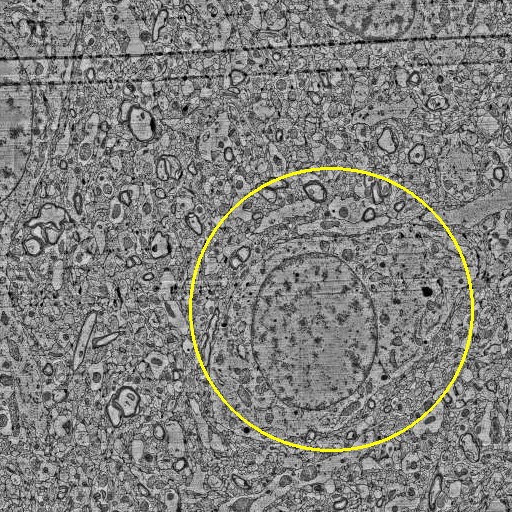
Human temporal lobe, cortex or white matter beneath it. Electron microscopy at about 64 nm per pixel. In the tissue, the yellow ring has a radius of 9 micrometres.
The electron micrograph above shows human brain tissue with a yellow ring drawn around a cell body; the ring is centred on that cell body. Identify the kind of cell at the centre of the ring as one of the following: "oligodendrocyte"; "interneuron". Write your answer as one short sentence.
The cell at the centre of the ring is an interneuron.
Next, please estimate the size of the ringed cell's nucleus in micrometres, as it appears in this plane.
The ringed cell's nucleus measures approximately 10 by 8 micrometres in this plane.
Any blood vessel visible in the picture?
No, no blood vessel shows in the picture.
